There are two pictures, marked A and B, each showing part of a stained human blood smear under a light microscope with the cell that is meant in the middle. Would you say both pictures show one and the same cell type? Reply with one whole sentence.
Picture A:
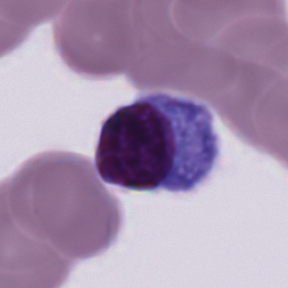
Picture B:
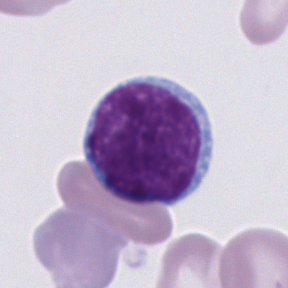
No, the types are not the same, since picture A shows a plasma cell and picture B a typical lymphocyte.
